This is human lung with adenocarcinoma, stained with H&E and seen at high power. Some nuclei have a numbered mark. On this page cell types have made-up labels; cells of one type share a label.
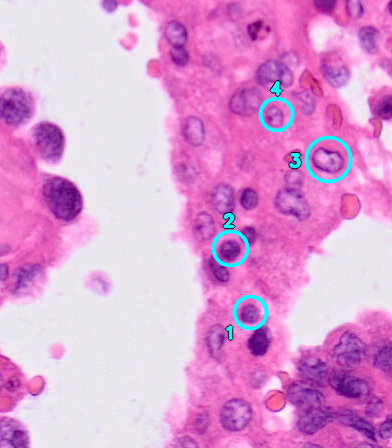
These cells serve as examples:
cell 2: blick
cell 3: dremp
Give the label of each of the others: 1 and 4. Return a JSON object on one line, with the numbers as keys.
{"1": "blick", "4": "dremp"}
